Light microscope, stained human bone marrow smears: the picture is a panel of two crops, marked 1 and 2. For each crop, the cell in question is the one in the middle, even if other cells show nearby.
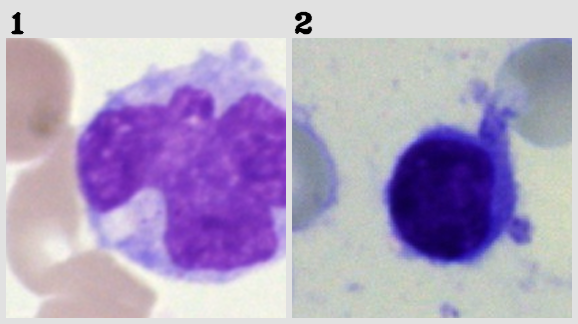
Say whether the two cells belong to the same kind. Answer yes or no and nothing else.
no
